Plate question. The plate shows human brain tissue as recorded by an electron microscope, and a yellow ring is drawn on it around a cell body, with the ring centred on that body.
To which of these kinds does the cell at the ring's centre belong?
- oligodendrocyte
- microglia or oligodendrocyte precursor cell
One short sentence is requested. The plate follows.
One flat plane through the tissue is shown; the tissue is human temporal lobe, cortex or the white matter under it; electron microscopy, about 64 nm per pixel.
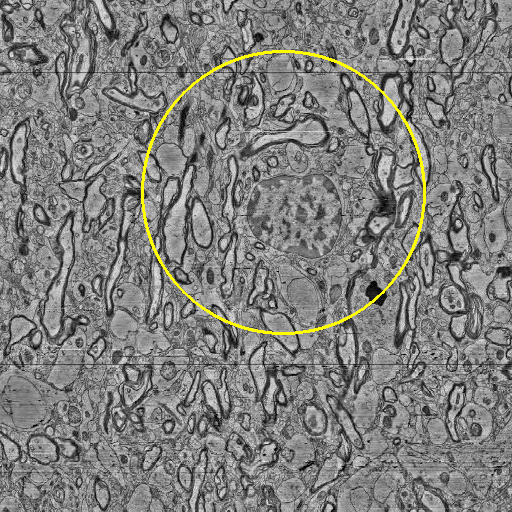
The cell at the ring's centre is a microglial cell or oligodendrocyte precursor cell.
